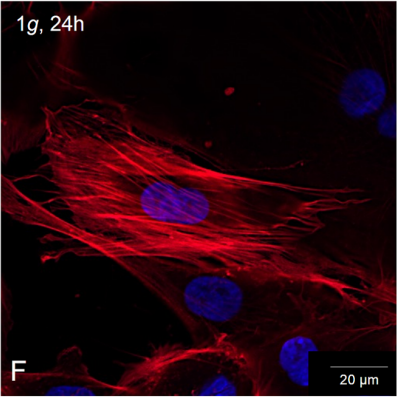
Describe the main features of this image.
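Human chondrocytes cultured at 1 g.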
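A single oval blue nucleus lies roughly in the centre of the cell. Parts of neighbouring cells with their own red filaments and blue nuclei appear at the edges of the field.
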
